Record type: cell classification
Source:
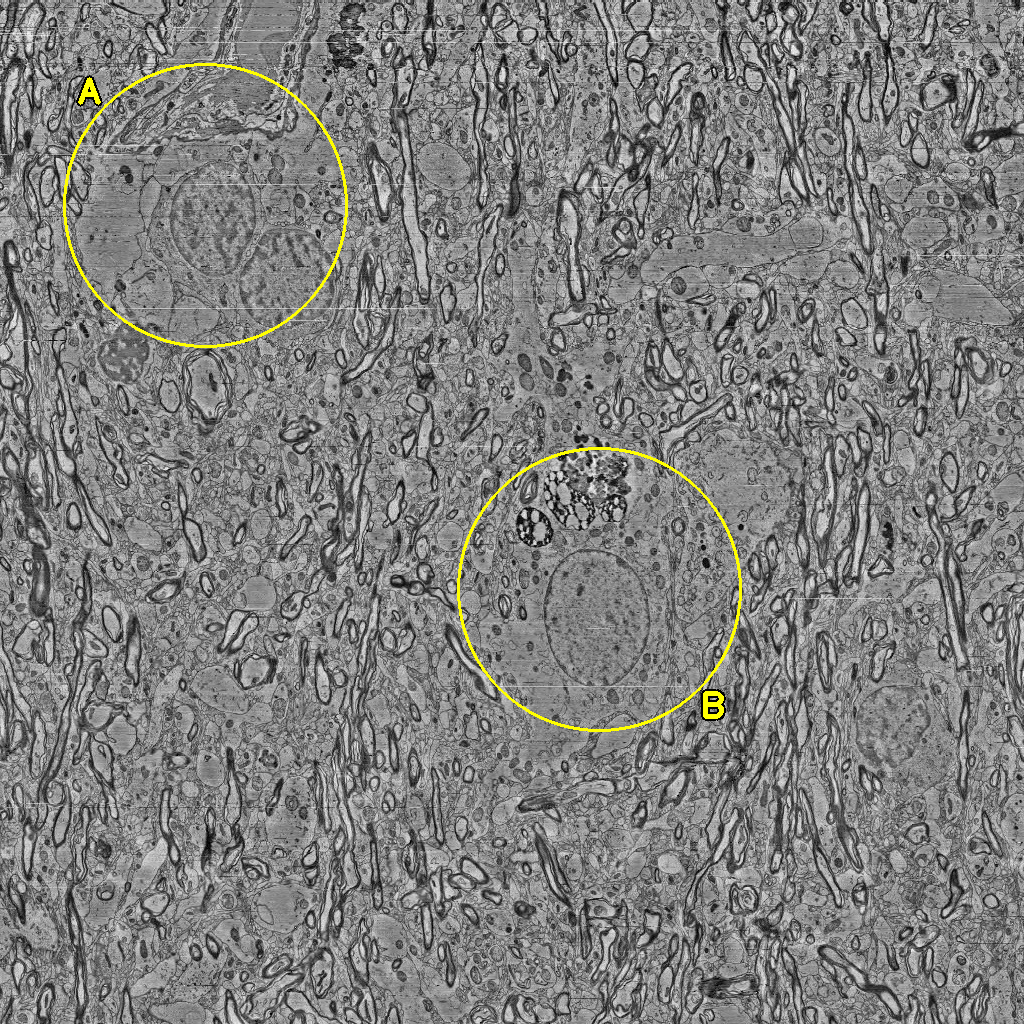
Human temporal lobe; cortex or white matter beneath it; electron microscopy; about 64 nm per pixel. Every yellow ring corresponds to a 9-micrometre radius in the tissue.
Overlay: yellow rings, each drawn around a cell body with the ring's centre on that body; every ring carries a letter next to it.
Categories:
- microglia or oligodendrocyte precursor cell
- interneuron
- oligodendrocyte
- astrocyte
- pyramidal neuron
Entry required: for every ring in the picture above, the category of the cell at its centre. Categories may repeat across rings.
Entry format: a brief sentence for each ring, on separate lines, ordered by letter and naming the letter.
At the centre of ring A lies an oligodendrocyte.
At the centre of ring B lies an astrocyte.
